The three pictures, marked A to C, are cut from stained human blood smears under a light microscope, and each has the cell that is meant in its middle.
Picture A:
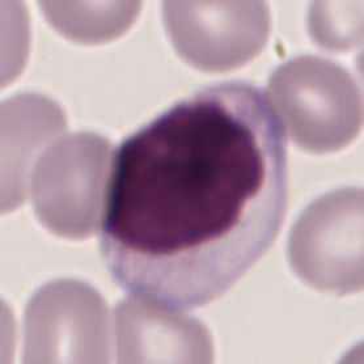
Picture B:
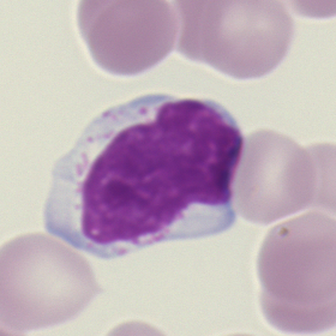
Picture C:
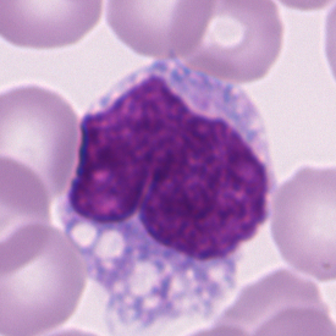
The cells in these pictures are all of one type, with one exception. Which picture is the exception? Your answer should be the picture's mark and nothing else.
C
